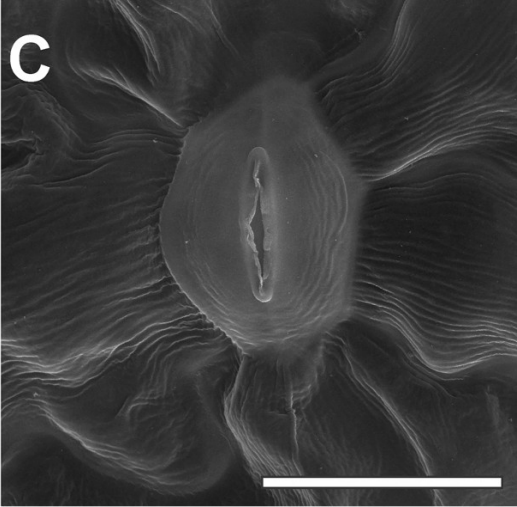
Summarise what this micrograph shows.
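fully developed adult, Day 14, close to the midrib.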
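Leaf epidermal surface with a pair of guard cells. The neighbouring epidermal cells are broad with wavy outlines, and their surfaces carry many fine, wavy ridges that run out from around the guard cell pair.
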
